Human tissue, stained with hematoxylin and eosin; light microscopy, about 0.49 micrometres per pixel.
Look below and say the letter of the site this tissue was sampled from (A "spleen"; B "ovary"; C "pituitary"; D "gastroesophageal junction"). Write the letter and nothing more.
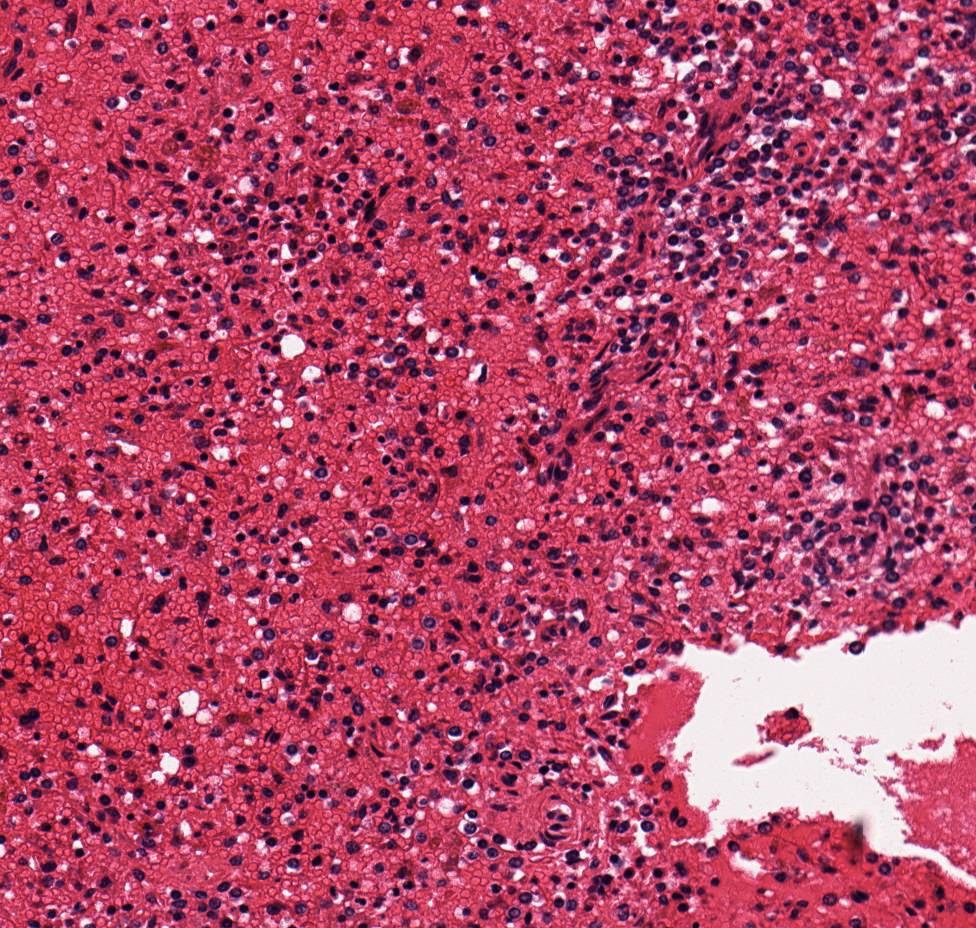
A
